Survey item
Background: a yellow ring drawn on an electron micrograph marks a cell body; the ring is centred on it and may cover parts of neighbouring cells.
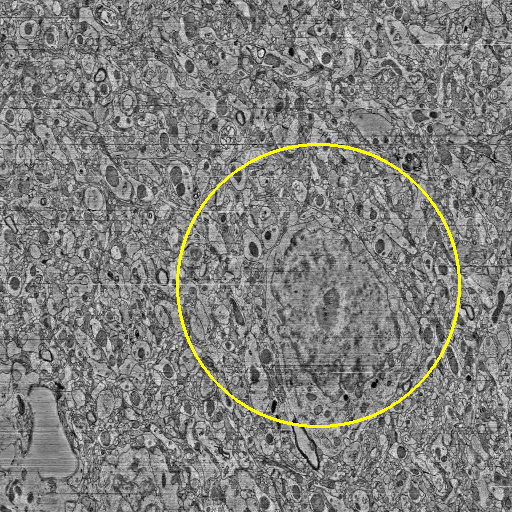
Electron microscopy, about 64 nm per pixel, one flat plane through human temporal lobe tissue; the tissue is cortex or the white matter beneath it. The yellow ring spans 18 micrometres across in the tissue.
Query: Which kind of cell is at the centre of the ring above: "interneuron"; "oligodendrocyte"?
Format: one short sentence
The cell in the middle of the ring is an interneuron.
